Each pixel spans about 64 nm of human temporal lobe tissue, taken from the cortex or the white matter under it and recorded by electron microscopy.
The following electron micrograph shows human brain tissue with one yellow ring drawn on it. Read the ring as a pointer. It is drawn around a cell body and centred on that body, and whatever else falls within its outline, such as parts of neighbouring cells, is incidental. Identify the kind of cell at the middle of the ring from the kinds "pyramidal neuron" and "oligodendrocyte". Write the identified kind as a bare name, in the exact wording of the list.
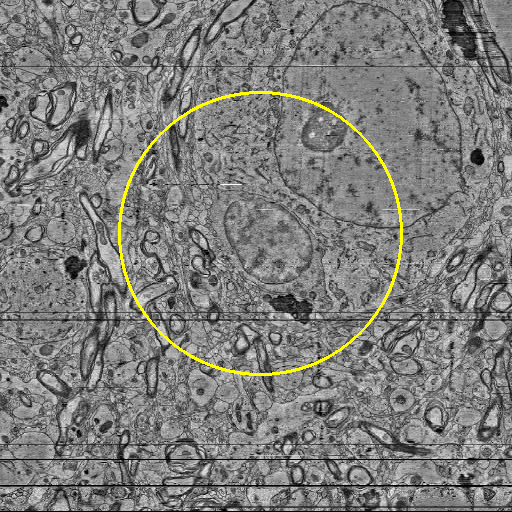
oligodendrocyte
